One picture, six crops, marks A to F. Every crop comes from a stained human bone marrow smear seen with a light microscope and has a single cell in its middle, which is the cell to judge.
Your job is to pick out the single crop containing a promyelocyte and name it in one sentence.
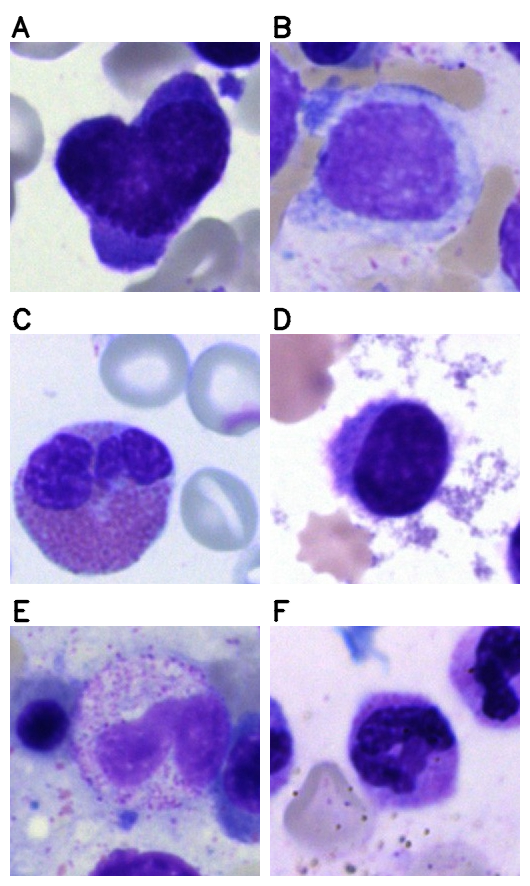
Crop B alone, of all the crops, shows a promyelocyte.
